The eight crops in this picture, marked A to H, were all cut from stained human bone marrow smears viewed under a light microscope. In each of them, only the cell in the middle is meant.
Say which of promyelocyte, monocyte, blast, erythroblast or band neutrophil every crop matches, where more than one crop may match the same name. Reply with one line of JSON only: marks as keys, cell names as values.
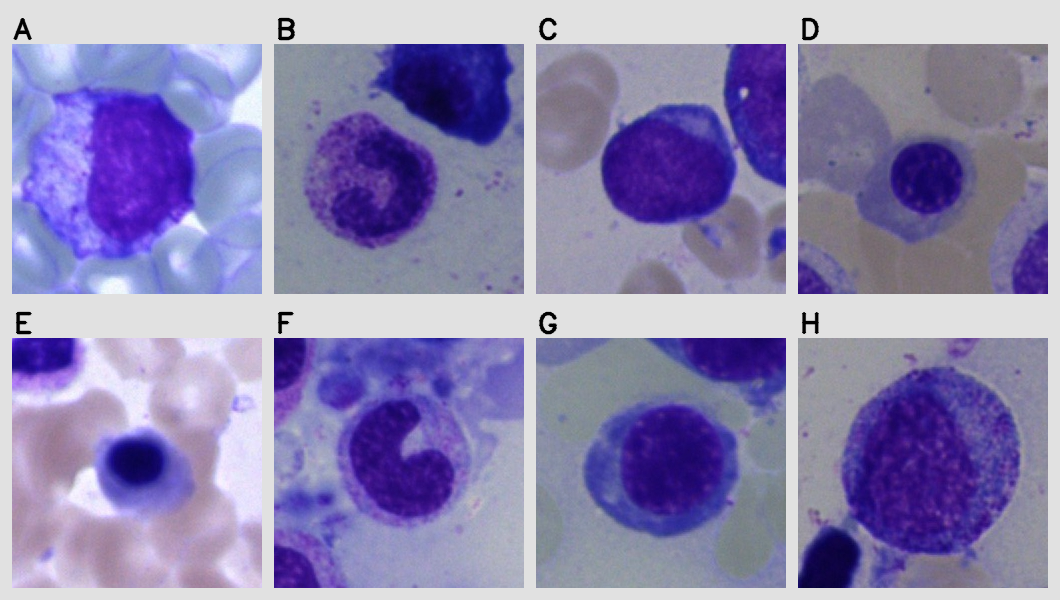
{"A": "promyelocyte", "B": "band neutrophil", "C": "blast", "D": "erythroblast", "E": "erythroblast", "F": "band neutrophil", "G": "erythroblast", "H": "promyelocyte"}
